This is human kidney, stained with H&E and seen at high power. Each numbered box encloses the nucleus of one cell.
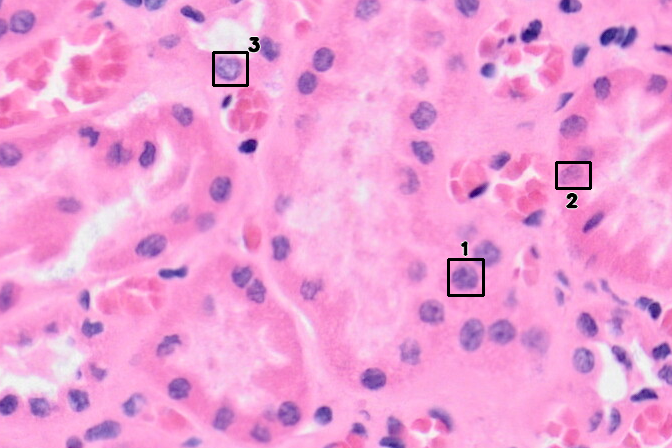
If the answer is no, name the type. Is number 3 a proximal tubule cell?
No, it is a loop of Henle or distal tubule cell.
